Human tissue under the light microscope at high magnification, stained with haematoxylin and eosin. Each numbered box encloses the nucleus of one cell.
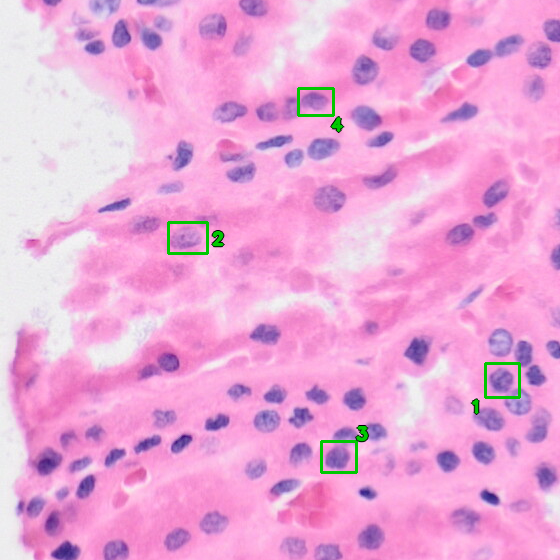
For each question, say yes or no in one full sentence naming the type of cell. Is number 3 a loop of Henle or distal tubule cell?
Yes, with respect to number 3, the cell is a loop of Henle or distal tubule cell.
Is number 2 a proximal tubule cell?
Yes, with respect to number 2, the cell is a proximal tubule cell.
